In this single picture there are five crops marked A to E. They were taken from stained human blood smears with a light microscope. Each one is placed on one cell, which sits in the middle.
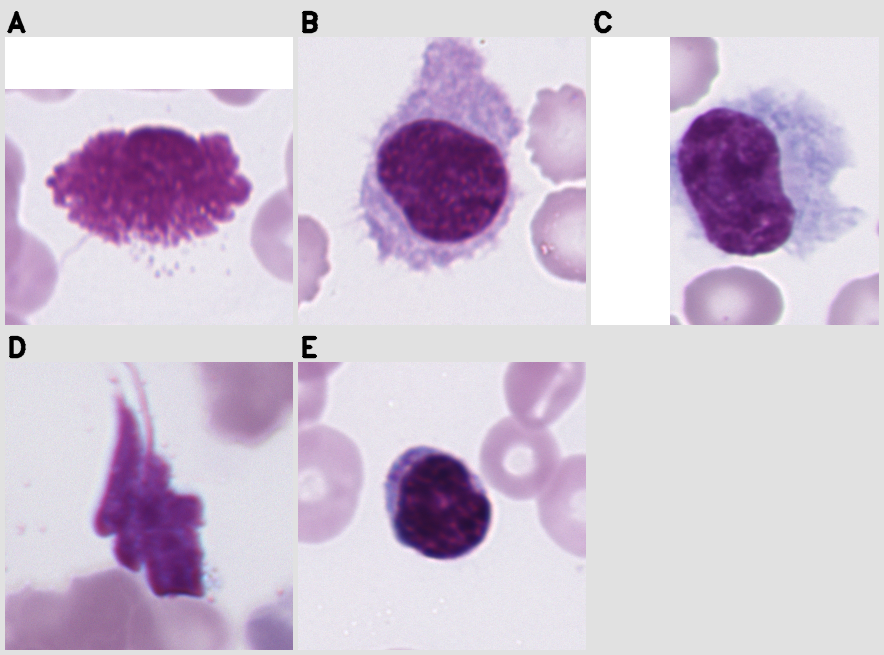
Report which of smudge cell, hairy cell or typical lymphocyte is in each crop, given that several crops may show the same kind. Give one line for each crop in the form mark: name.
A: smudge cell
B: hairy cell
C: hairy cell
D: smudge cell
E: typical lymphocyte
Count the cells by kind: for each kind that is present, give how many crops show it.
smudge cell: 2
hairy cell: 2
typical lymphocyte: 1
